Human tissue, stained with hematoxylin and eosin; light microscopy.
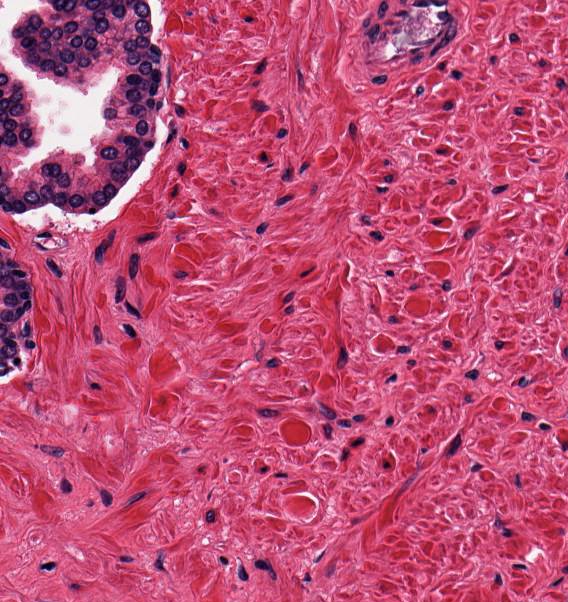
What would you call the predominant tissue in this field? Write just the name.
fibromuscular stroma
